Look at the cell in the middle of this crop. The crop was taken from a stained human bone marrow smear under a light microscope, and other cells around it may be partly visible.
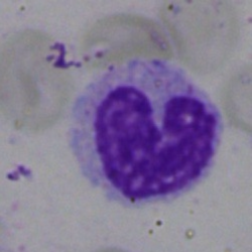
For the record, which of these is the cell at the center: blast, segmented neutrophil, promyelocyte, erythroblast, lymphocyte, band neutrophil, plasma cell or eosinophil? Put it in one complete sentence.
The crop centres on a single cell, and that cell is a band neutrophil.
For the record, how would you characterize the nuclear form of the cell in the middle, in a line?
Just one compact nuclear mass here, round, oval or kidney-shaped.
